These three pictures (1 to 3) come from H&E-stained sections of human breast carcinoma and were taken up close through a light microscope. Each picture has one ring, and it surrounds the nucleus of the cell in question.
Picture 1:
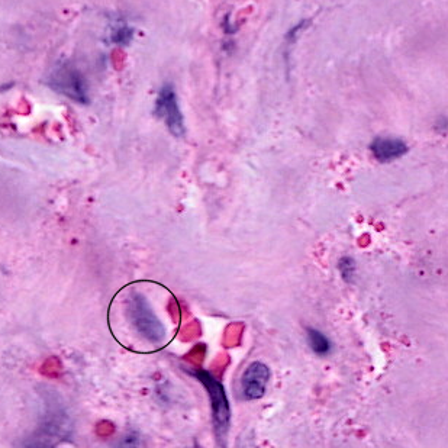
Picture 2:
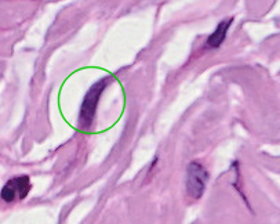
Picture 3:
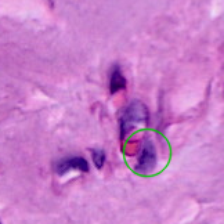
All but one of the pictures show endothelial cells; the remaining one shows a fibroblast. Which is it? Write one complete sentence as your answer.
Picture 2 is the one that shows the fibroblast.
